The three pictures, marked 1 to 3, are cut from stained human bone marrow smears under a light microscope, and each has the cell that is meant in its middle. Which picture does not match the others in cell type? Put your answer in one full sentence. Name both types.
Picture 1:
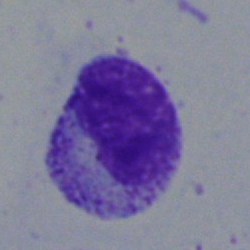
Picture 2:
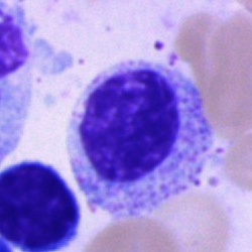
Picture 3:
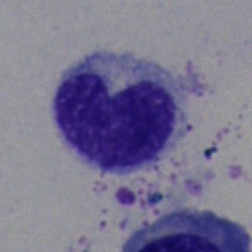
Picture 3 is the odd one out: it shows a metamyelocyte, while the others show myelocytes.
